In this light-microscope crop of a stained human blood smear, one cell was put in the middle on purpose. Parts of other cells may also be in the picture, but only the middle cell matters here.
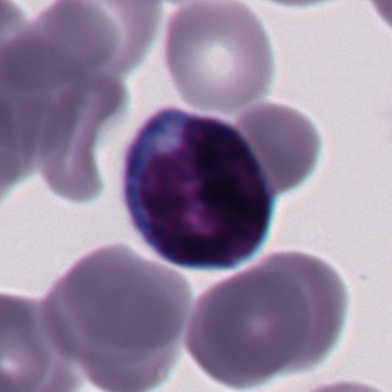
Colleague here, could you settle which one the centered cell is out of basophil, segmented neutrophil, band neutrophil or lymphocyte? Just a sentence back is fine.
The central cell shown in this smear crop is a lymphocyte.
